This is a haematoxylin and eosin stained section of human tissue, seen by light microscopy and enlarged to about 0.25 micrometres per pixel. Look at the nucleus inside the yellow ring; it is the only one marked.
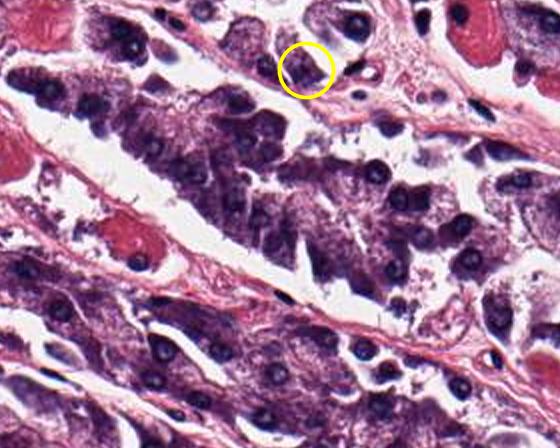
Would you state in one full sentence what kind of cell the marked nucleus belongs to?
The marked nucleus lies within a chief cell.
